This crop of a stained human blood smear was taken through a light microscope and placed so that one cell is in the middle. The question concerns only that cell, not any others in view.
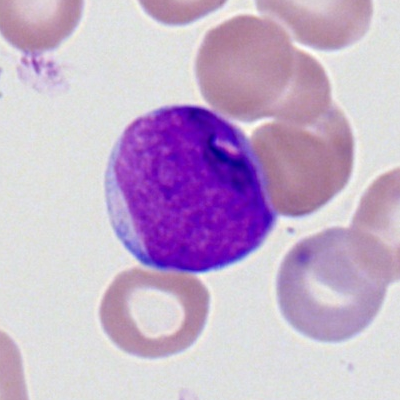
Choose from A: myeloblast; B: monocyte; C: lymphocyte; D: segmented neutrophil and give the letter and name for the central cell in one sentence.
The central cell is a myeloblast, which makes option A the right answer.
